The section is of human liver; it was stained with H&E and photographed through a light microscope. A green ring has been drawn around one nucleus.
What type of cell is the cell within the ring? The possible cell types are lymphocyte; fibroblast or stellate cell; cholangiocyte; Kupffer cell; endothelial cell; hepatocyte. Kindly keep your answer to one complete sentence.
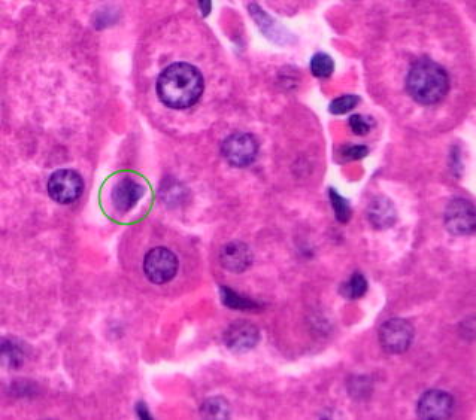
The identity of the cell within the ring is that of a Kupffer cell.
